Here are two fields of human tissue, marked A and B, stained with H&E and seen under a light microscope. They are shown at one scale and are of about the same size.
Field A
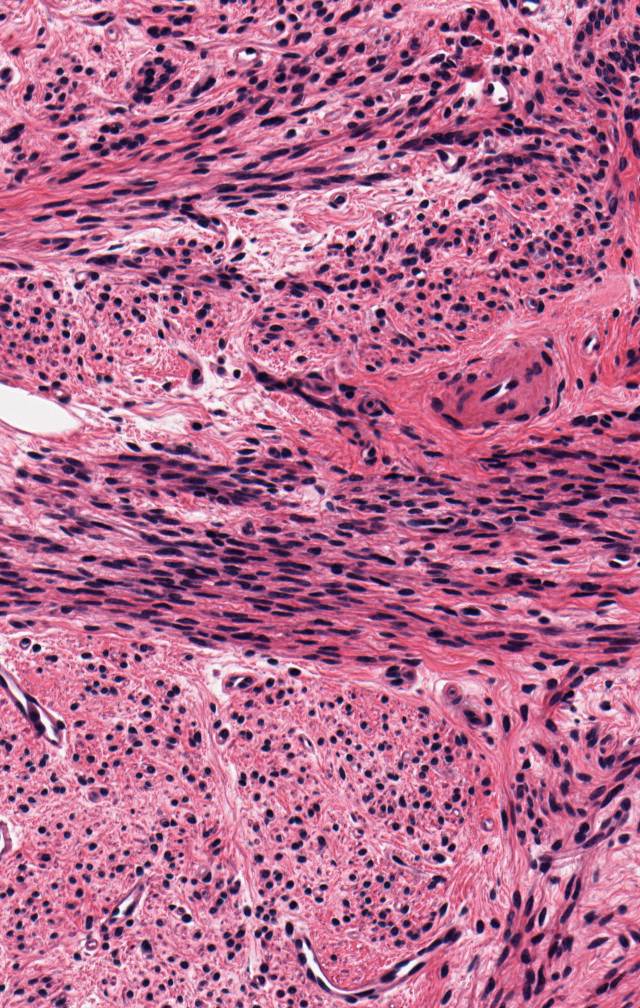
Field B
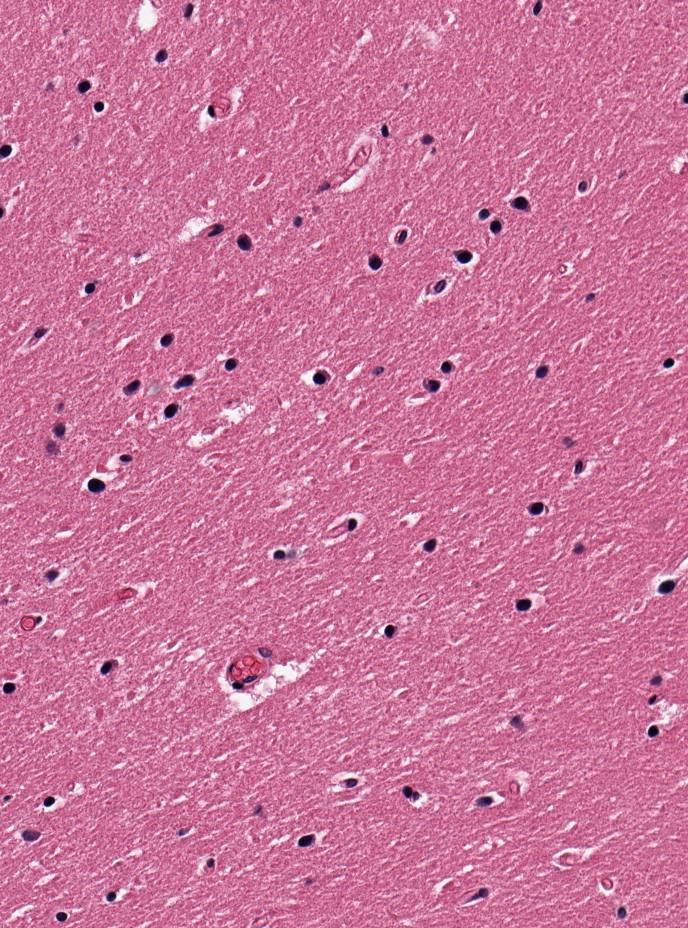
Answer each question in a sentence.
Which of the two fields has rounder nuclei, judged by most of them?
The nuclei are rounder in field B.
